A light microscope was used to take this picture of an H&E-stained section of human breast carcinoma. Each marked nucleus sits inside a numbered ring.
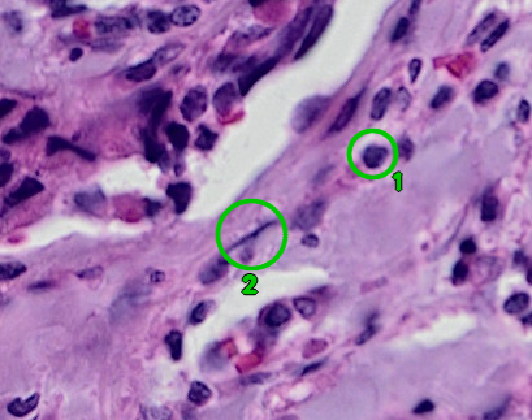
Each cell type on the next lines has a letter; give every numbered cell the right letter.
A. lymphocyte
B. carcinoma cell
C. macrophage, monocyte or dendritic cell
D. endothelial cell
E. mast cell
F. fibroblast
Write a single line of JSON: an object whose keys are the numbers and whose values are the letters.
{"1": "A", "2": "F"}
